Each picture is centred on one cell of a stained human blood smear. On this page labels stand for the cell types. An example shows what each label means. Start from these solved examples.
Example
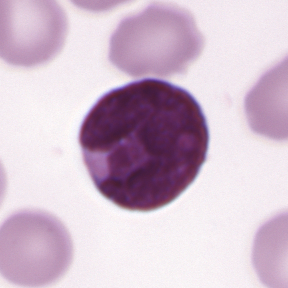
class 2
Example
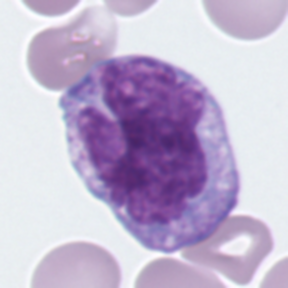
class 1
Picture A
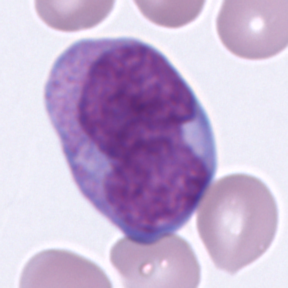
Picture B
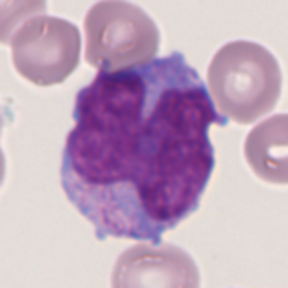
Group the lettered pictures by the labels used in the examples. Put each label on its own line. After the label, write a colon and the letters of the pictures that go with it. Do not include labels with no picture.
class 1: A, B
